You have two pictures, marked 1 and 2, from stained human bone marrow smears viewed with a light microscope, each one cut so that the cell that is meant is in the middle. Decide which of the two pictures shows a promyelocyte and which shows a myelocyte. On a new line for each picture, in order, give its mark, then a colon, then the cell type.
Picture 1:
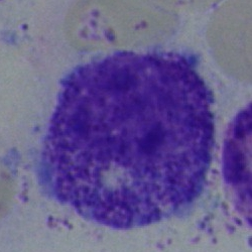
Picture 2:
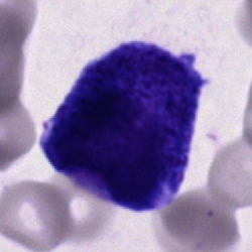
1: myelocyte
2: promyelocyte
